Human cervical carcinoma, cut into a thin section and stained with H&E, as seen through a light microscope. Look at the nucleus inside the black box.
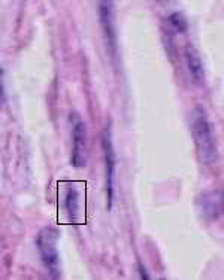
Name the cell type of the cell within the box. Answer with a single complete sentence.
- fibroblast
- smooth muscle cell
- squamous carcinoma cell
In this section, the cell within the box is a fibroblast.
